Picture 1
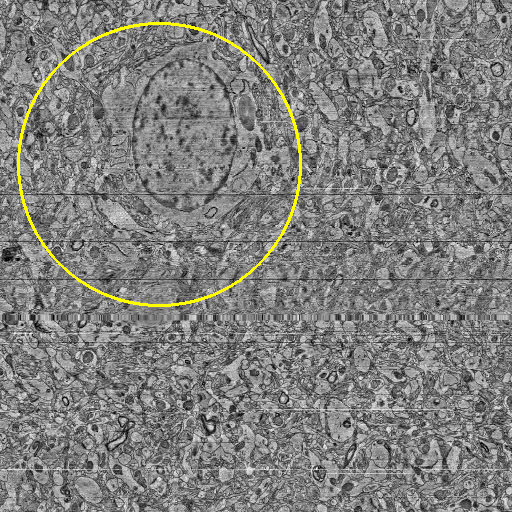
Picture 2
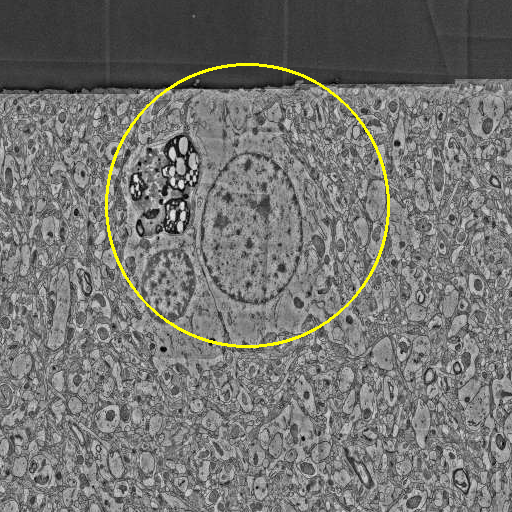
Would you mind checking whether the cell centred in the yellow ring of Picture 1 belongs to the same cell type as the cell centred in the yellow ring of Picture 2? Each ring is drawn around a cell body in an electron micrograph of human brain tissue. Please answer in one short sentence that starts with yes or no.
Yes, both cells are of the same type.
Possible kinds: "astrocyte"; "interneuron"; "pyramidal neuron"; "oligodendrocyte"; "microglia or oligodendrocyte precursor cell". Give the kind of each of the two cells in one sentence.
Each of the two rings is centred on an astrocyte.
